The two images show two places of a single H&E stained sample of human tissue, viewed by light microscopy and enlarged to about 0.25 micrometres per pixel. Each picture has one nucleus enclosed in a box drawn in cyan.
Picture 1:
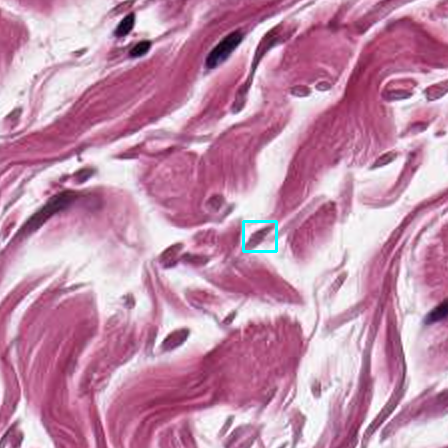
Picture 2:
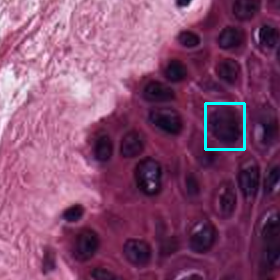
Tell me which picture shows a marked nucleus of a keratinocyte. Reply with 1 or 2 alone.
2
